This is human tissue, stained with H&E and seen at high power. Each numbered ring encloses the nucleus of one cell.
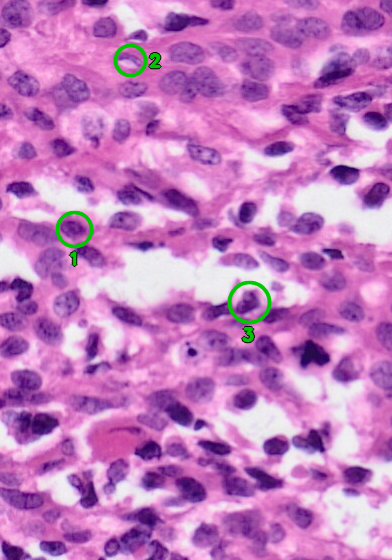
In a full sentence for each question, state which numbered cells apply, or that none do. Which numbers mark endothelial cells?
Among all the marked cells, an endothelial cell is found only at number 2.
